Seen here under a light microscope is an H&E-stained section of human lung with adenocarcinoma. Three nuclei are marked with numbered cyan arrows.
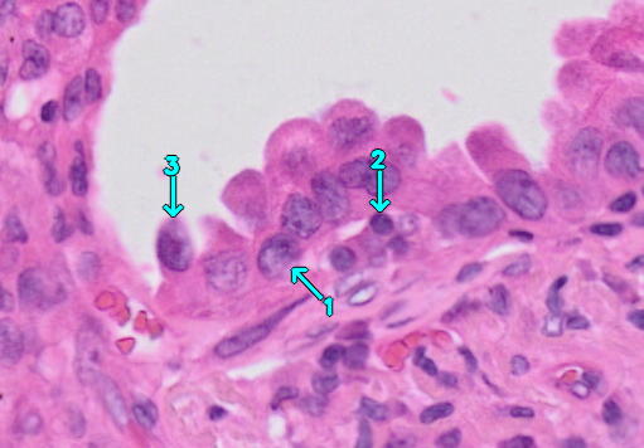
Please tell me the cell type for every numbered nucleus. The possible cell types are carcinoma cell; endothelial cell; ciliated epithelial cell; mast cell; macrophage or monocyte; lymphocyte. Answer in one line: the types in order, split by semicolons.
carcinoma cell; lymphocyte; carcinoma cell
